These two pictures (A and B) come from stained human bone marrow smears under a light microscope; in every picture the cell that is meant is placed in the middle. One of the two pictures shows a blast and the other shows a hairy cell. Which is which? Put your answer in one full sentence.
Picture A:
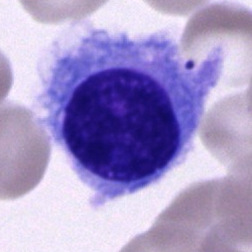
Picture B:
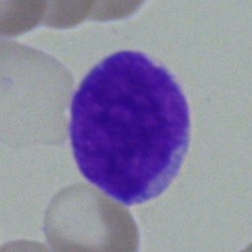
Picture A shows a hairy cell and picture B shows a blast.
